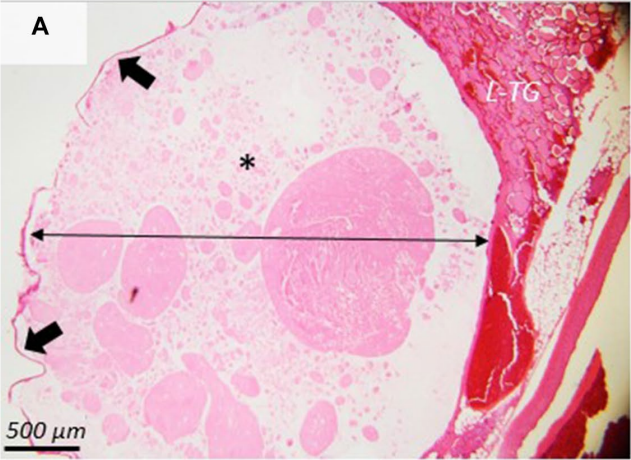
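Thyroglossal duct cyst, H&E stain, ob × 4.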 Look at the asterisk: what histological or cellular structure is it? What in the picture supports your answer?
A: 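Homogeneous, eosinophilic product. The cavity is filled with pale pink material. The material forms rounded, evenly pink masses of varied size.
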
